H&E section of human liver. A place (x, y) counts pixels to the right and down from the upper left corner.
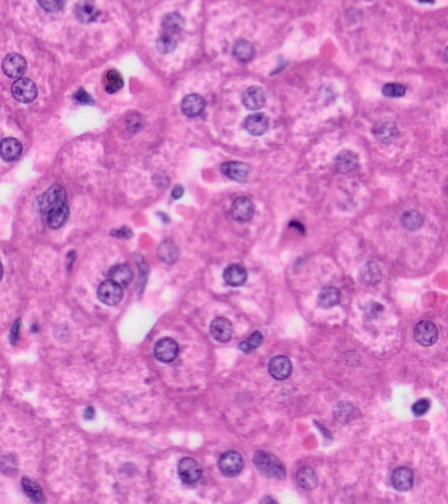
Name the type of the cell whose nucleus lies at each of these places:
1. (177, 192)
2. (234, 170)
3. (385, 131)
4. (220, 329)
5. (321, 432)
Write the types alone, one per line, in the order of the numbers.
lymphocyte
Kupffer cell
hepatocyte
hepatocyte
endothelial cell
